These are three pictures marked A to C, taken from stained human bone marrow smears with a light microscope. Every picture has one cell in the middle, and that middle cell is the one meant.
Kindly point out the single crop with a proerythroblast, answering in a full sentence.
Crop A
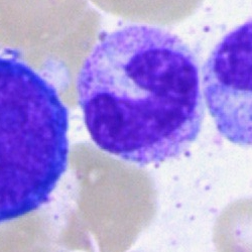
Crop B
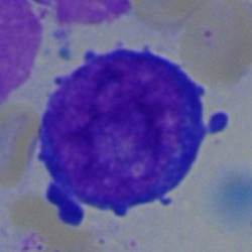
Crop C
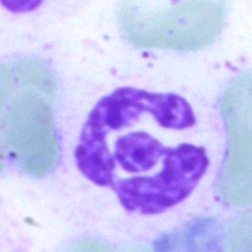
Identified crop: B, the one that shows a proerythroblast.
